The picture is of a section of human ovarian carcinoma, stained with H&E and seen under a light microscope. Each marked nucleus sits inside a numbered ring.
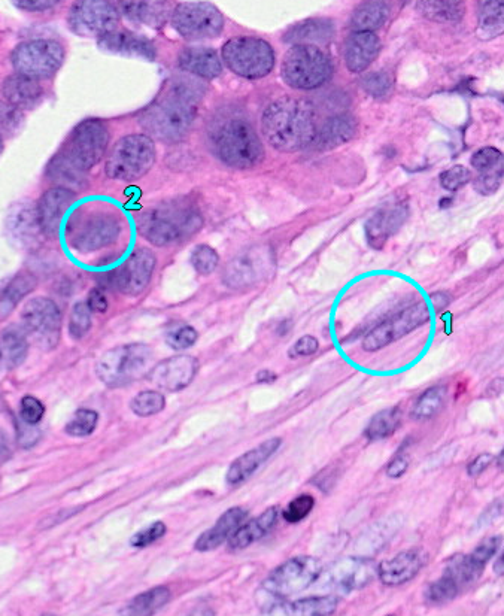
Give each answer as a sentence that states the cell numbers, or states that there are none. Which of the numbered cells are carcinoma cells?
In this set of numbered cells, only cell 2 is a carcinoma cell.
